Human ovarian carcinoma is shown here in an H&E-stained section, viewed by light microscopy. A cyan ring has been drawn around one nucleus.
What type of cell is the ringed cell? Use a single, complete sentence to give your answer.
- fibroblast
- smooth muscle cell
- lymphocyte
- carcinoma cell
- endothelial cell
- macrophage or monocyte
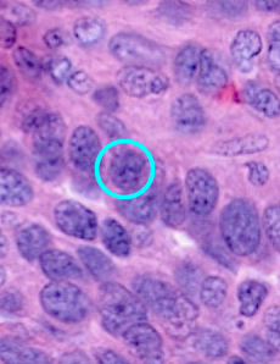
As classified here, the ringed cell is a carcinoma cell.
